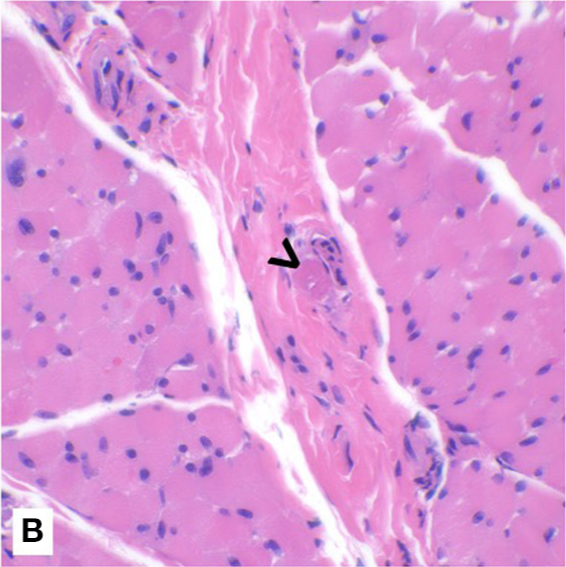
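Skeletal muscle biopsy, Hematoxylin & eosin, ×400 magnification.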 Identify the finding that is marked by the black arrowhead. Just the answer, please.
Intravascular microthrombi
